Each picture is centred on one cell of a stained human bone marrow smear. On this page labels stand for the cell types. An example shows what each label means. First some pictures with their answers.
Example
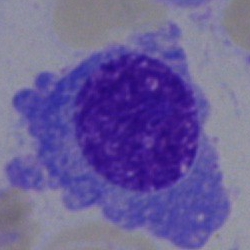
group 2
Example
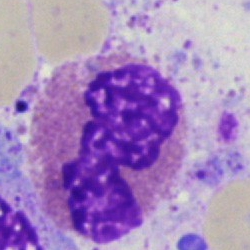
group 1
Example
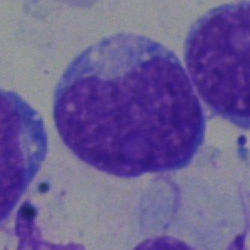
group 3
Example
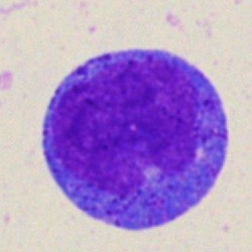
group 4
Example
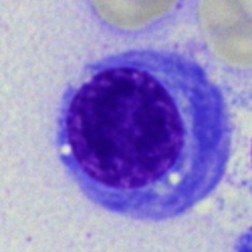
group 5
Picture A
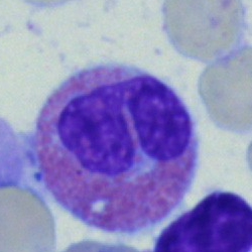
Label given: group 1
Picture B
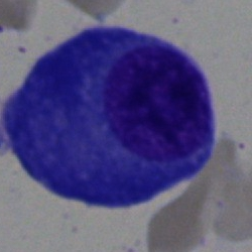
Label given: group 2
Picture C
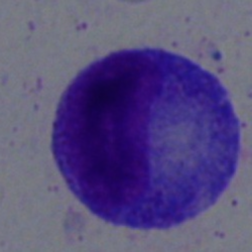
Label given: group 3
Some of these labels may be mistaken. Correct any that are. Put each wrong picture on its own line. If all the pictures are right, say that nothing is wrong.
C: change group 3 to group 4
